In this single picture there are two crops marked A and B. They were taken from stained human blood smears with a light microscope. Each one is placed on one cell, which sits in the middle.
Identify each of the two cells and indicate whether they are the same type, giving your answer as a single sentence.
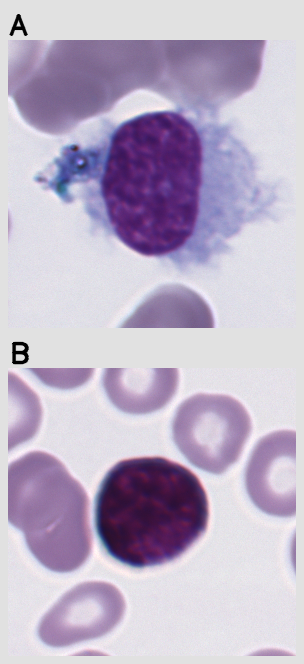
No, the cell shown in crop A is a hairy cell, and the cell shown in crop B is a myeloblast.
